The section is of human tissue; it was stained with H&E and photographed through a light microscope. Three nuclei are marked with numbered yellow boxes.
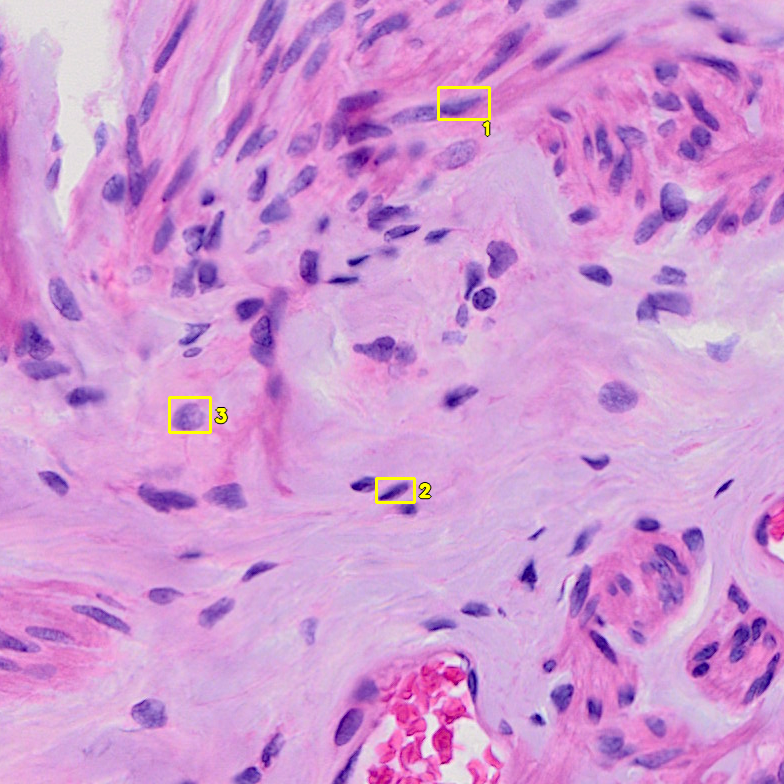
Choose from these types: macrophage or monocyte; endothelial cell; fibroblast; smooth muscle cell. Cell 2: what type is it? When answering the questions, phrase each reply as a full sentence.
Classified as a fibroblast is the cell with the number 2.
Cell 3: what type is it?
The cell assigned the number 3 is a fibroblast.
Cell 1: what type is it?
The marked cell with the number 1 is recognised as a smooth muscle cell.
